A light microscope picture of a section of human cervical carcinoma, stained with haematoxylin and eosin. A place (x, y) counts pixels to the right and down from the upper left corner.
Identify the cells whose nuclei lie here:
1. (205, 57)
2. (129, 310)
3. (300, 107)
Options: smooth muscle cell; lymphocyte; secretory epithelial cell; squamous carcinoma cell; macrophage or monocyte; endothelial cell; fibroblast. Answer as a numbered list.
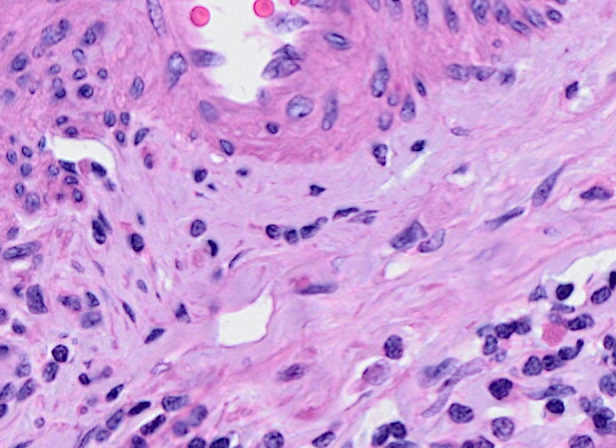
1. endothelial cell
2. fibroblast
3. smooth muscle cell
